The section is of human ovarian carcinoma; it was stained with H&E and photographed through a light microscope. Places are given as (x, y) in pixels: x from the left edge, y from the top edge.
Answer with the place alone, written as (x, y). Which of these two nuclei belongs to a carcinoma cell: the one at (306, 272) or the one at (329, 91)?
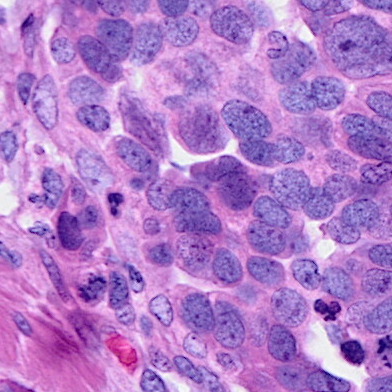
(329, 91)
